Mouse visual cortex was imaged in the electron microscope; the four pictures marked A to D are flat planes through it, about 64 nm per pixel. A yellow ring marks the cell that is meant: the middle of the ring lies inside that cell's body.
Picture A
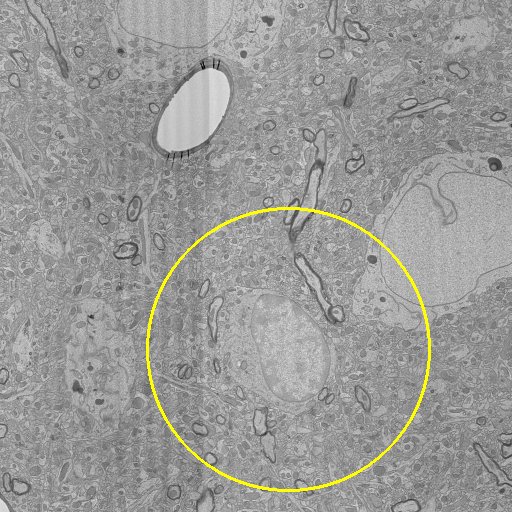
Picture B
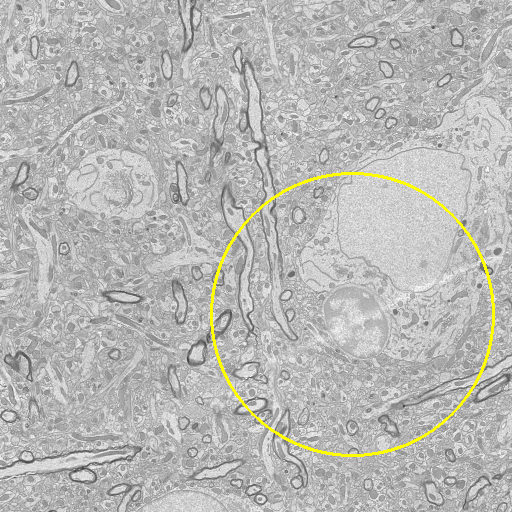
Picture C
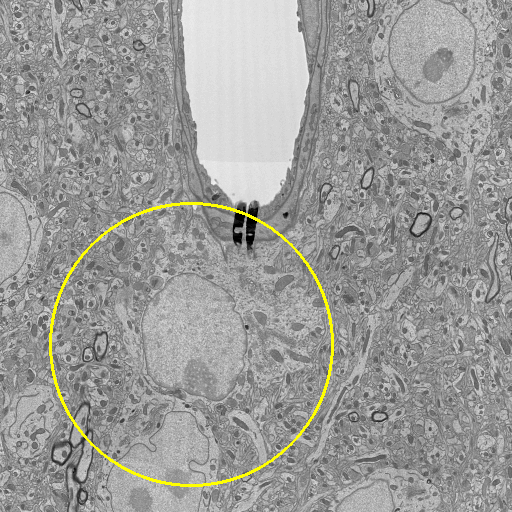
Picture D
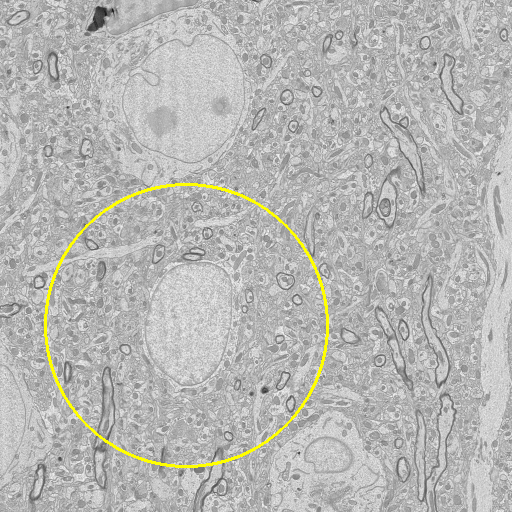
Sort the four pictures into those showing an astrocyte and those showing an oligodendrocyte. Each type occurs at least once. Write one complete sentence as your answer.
Pictures C and D show astrocytes, and pictures A and B show oligodendrocytes.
